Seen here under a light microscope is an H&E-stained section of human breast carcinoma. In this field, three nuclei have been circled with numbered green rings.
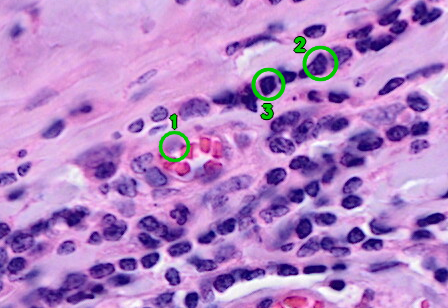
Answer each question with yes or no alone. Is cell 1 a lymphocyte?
no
